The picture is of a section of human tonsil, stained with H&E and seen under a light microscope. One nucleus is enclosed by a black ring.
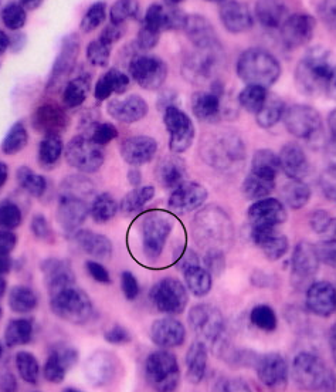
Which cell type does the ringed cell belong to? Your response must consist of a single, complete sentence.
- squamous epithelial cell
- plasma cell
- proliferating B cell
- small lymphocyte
In the tissue at hand, the ringed cell is a proliferating B cell.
